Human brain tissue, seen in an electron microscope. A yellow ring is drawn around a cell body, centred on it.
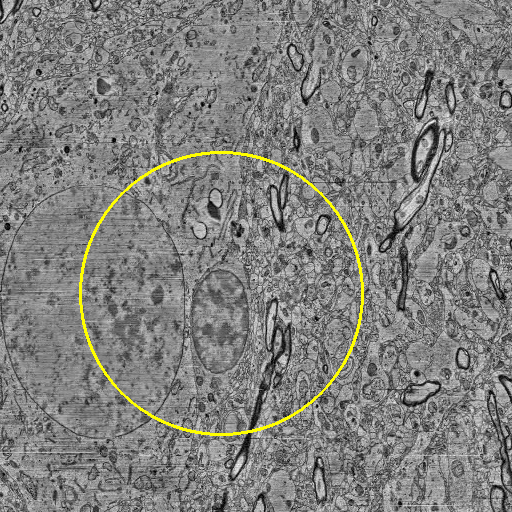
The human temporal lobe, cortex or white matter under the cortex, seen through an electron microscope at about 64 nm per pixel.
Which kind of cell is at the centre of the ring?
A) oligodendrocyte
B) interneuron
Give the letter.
A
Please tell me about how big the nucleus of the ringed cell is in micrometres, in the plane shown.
Approximately 7 micrometres long and 4 micrometres wide, so clearly longer than it is wide in this plane.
